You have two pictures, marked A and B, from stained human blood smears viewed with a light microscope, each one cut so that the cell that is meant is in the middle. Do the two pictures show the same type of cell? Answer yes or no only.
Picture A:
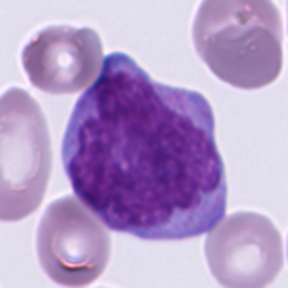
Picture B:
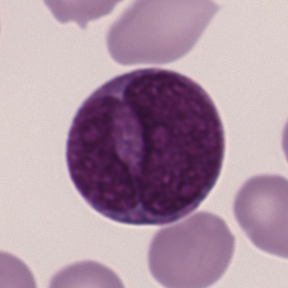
no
